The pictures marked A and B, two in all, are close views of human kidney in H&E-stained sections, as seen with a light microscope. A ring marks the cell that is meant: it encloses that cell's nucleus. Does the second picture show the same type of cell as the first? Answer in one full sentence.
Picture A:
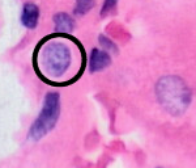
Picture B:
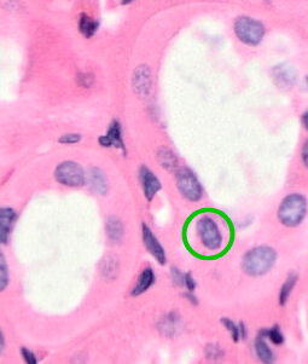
No; the cell in picture A is a collecting duct cell, while the one in picture B is a “loop of Henle or distal tubule cell”.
